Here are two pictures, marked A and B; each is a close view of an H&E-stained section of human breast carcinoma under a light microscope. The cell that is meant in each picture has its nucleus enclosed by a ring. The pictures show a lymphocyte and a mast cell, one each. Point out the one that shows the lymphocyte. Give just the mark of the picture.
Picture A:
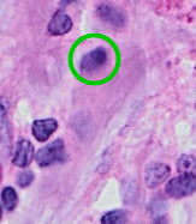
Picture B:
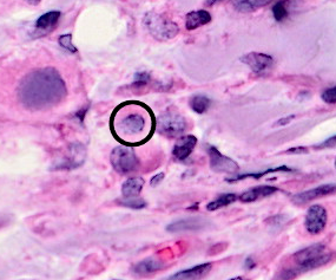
A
